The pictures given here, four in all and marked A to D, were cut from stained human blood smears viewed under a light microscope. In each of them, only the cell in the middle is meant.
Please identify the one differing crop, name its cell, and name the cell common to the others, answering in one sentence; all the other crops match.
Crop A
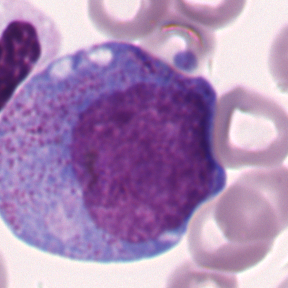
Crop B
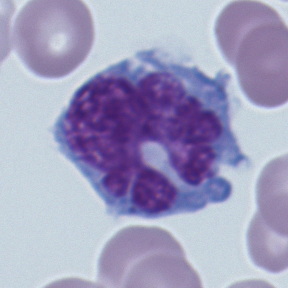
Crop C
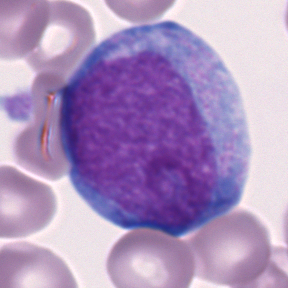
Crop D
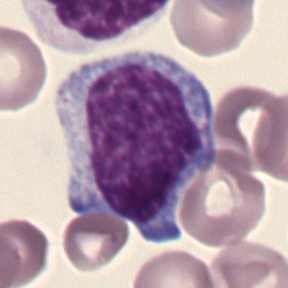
Of these crops, only crop B is a monocyte; the others are promyelocytes.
